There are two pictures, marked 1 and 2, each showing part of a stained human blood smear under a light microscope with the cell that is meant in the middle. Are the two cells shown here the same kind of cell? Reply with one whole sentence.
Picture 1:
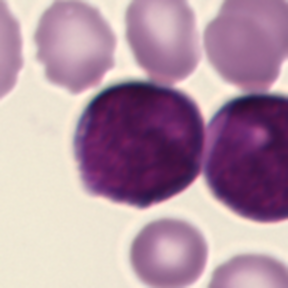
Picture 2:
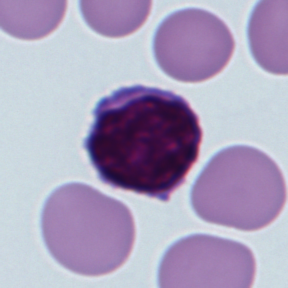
No, picture 1 shows a myeloblast and picture 2 shows a typical lymphocyte.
